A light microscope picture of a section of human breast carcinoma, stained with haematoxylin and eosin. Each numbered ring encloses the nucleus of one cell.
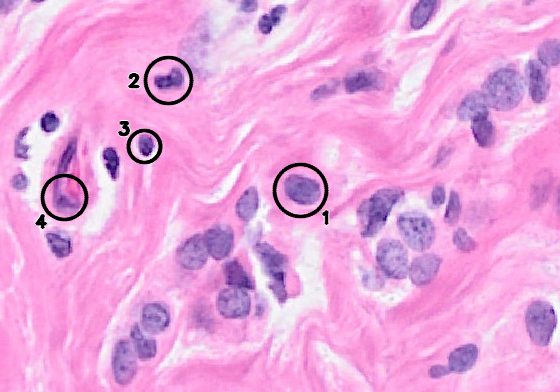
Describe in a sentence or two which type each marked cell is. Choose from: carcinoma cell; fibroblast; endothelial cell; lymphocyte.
Cell 1 is a carcinoma cell, cell 2 is a lymphocyte, cell 3 is a lymphocyte and cell 4 is an endothelial cell.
